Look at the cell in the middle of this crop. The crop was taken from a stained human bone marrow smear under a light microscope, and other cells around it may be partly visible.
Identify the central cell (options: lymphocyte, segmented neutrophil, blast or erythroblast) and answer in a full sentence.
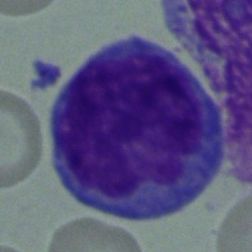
In the centre of this crop there is a blast.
